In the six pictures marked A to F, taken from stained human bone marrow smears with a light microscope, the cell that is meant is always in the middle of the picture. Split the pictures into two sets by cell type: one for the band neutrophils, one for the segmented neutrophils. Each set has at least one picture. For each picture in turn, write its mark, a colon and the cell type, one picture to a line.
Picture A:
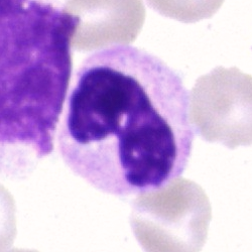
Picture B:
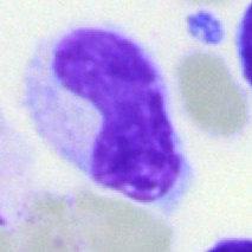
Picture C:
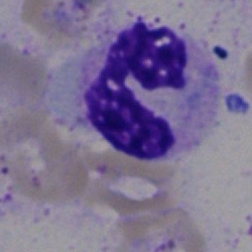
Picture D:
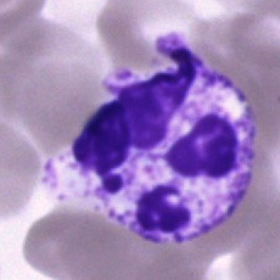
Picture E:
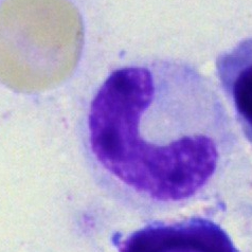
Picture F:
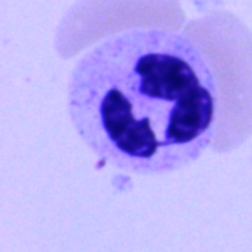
A: segmented neutrophil
B: band neutrophil
C: segmented neutrophil
D: segmented neutrophil
E: band neutrophil
F: segmented neutrophil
